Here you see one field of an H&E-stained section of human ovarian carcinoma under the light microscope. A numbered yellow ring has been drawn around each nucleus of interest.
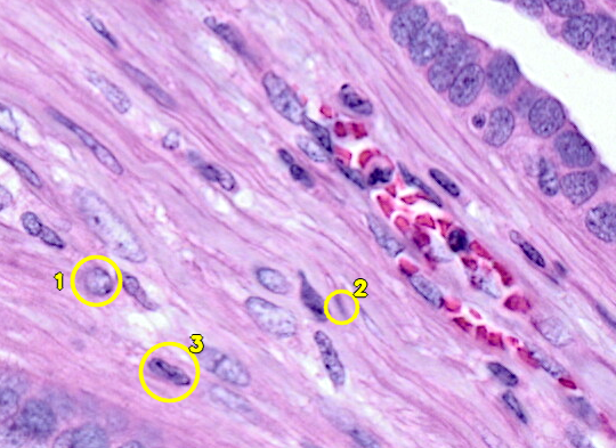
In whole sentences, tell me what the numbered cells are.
Cell 1 is a fibroblast, cell 2 is a fibroblast and cell 3 is a macrophage or monocyte.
